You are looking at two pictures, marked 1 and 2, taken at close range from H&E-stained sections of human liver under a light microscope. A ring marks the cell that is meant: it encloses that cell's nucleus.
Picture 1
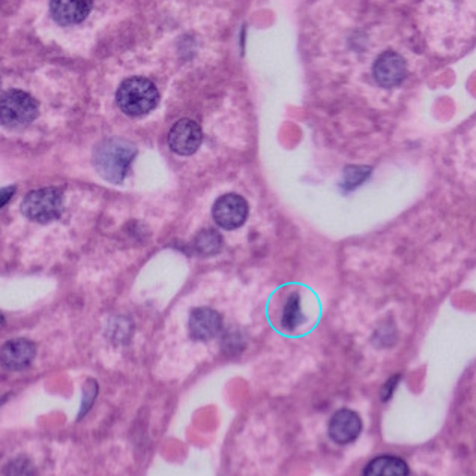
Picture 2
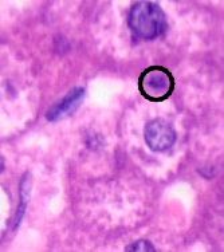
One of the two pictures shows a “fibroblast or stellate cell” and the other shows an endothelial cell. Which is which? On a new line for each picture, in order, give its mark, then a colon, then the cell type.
1: endothelial cell
2: fibroblast or stellate cell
